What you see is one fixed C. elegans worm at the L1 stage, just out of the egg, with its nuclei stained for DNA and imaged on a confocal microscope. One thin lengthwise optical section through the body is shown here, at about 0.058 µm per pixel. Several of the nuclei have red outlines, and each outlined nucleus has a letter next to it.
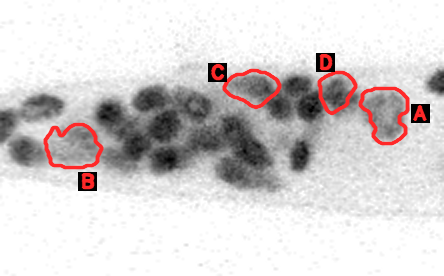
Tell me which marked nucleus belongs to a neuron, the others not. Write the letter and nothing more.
D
